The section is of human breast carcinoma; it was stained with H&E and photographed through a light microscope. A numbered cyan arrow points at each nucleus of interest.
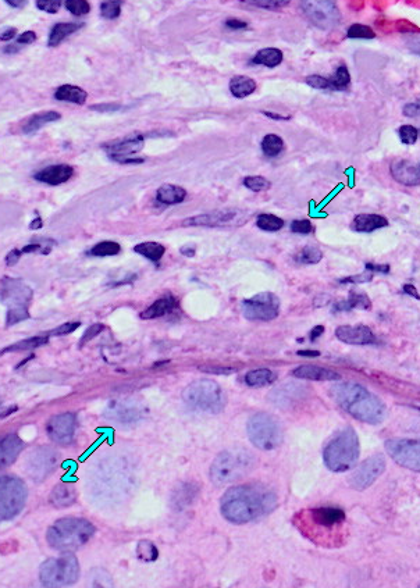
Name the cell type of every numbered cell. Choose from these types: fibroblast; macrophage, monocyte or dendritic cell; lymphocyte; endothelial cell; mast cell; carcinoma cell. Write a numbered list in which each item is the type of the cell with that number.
1. lymphocyte
2. carcinoma cell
